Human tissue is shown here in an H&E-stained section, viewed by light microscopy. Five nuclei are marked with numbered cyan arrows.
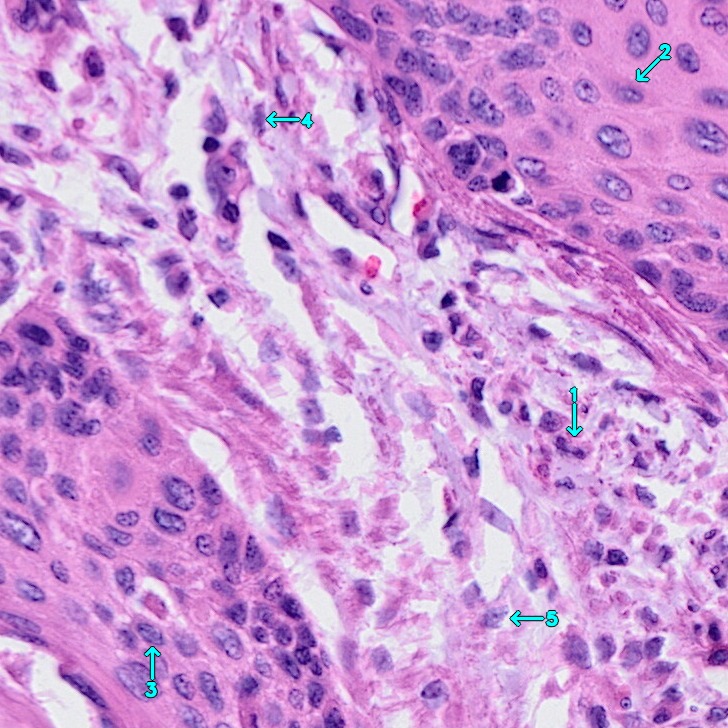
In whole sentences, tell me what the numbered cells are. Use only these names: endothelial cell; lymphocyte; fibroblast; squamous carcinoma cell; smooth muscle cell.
Cell 1 is a fibroblast, cell 2 is a squamous carcinoma cell, cell 3 is a squamous carcinoma cell, cell 4 is a fibroblast and cell 5 is a fibroblast.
